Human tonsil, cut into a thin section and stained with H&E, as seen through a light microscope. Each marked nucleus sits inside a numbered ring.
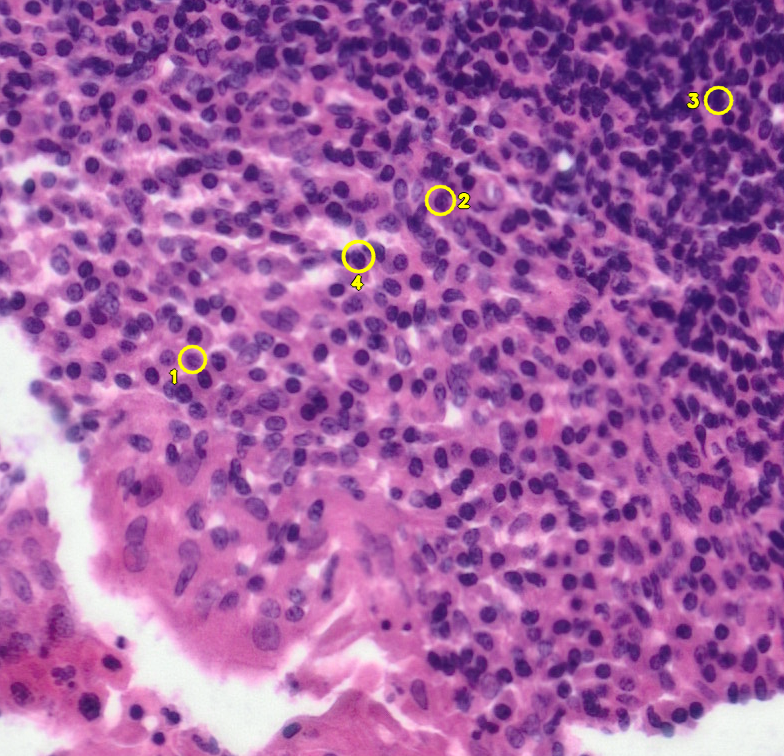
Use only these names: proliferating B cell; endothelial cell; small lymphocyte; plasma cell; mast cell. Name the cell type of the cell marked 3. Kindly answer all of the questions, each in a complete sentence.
That cell with number 3 is a small lymphocyte.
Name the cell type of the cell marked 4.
The cell pointed out as number 4 is a plasma cell.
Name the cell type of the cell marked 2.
The cell pointed out as number 2 is a plasma cell.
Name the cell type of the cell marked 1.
Cell number 1 in this section is a plasma cell.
